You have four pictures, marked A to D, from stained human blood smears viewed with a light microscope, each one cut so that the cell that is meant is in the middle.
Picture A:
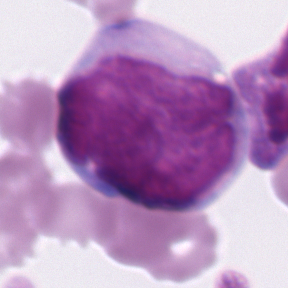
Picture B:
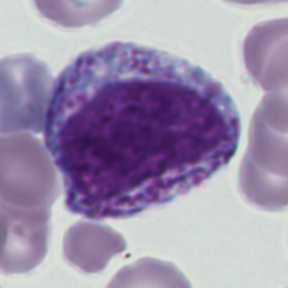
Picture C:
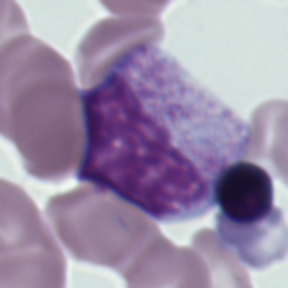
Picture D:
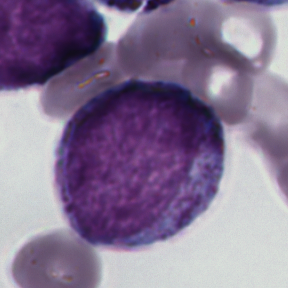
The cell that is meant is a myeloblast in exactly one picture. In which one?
A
